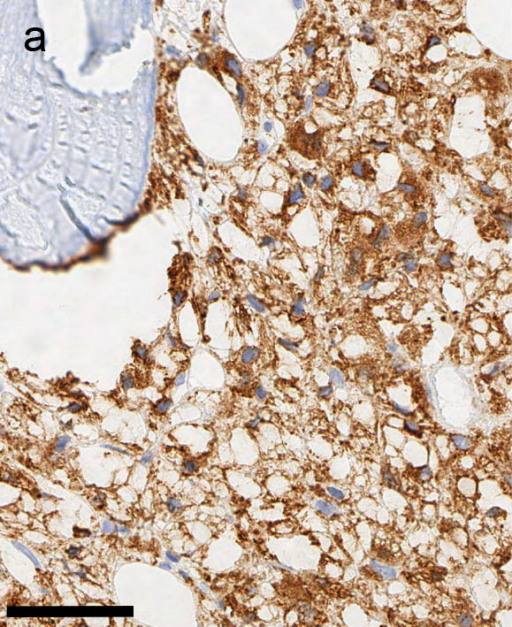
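Marrow space beside a pale blue bone trabecula is filled with sheets of large histiocytes whose cytoplasm is stuffed with clear vacuoles of varying size. The brown stain outlines the foamy, vacuolated cytoplasm, while the small oval nuclei are blue. Round empty fat spaces are scattered among the cells.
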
